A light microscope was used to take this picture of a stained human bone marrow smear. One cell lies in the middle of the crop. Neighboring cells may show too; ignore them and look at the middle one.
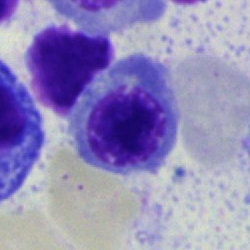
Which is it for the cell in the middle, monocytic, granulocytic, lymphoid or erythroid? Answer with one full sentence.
The cell at the crop's center sits within the erythroid lineage.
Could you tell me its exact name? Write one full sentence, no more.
Among the cells in view, the one in the middle is an erythroblast.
